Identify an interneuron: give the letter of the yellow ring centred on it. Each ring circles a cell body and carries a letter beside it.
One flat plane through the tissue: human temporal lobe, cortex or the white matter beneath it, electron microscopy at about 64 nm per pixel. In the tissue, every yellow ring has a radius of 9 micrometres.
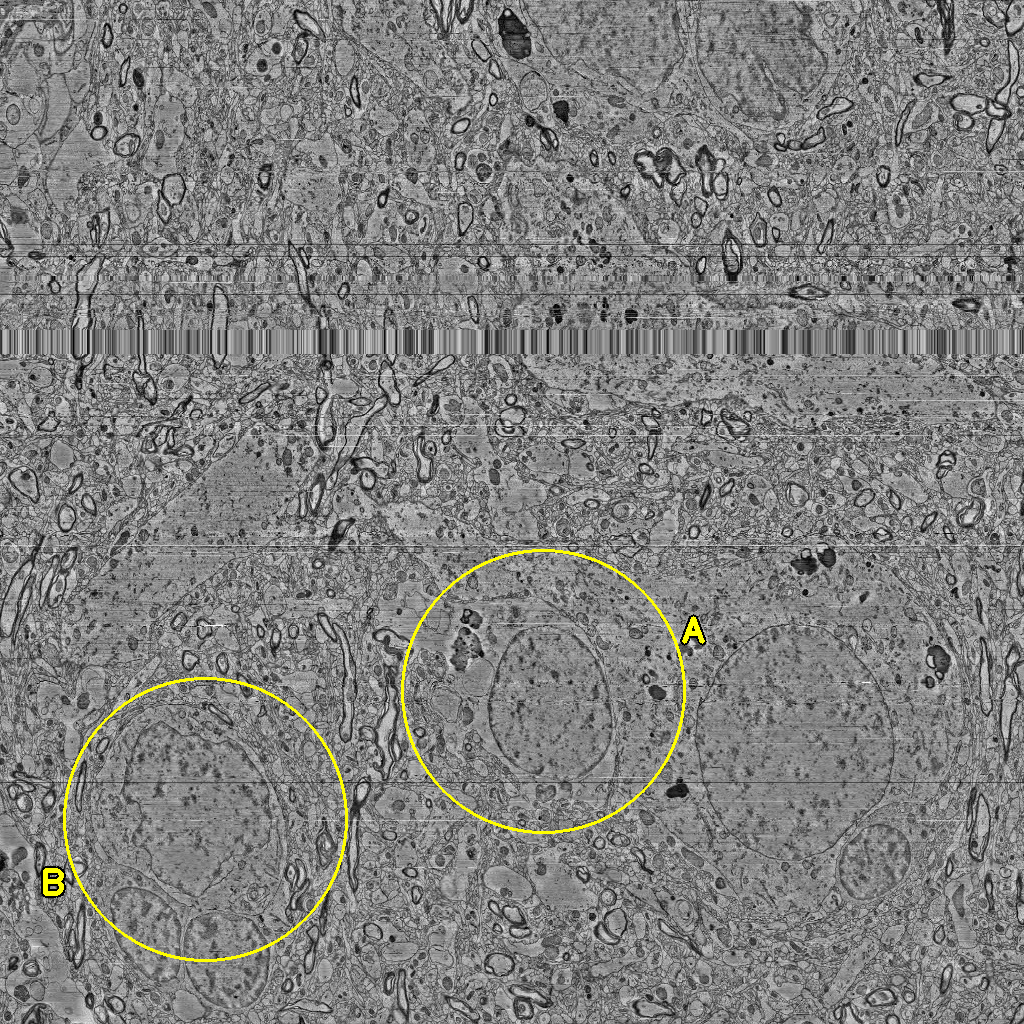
B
